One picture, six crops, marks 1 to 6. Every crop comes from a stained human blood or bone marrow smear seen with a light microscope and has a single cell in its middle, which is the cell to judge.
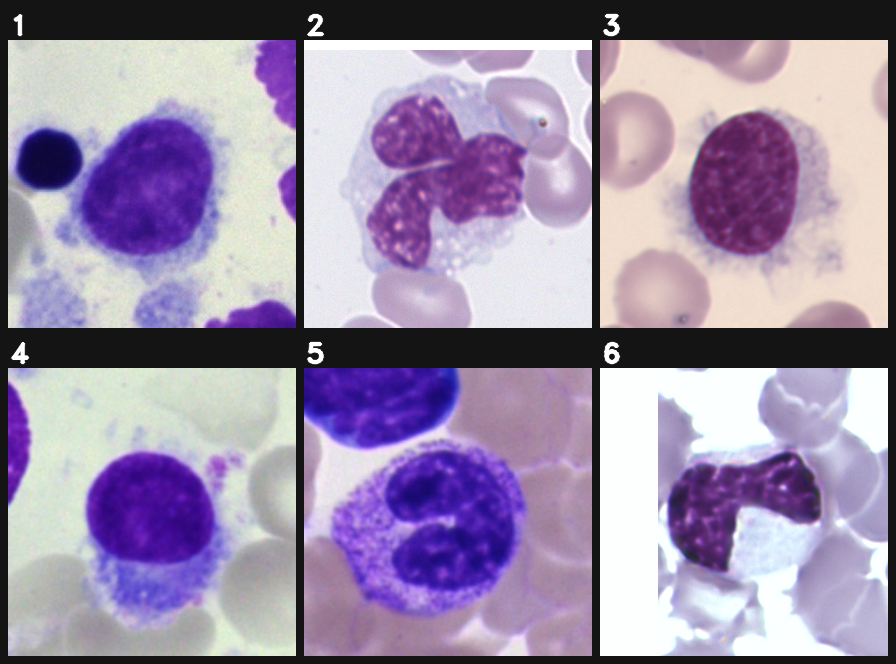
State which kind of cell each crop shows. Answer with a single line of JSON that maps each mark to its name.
{"1": "hairy cell", "2": "monocyte", "3": "hairy cell", "4": "hairy cell", "5": "band neutrophil", "6": "band neutrophil"}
